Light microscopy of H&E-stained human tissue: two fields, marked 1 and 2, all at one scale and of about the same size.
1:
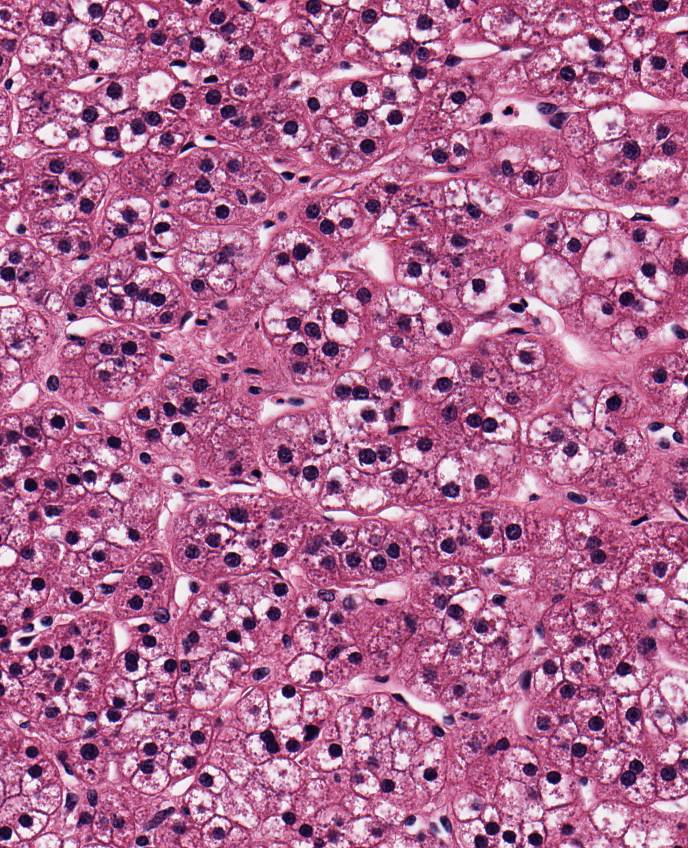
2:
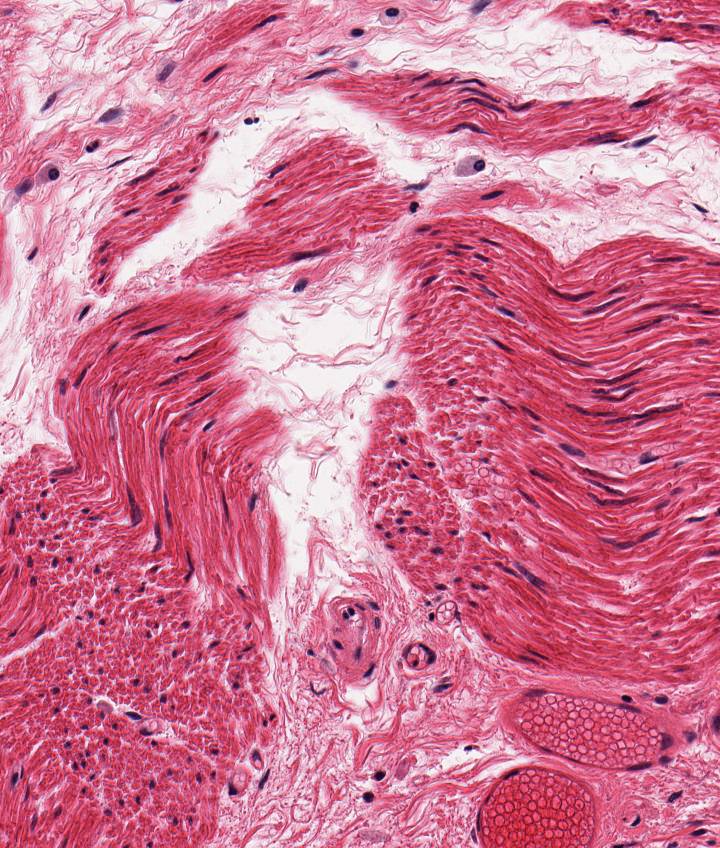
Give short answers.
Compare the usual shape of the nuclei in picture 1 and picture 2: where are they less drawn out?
1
